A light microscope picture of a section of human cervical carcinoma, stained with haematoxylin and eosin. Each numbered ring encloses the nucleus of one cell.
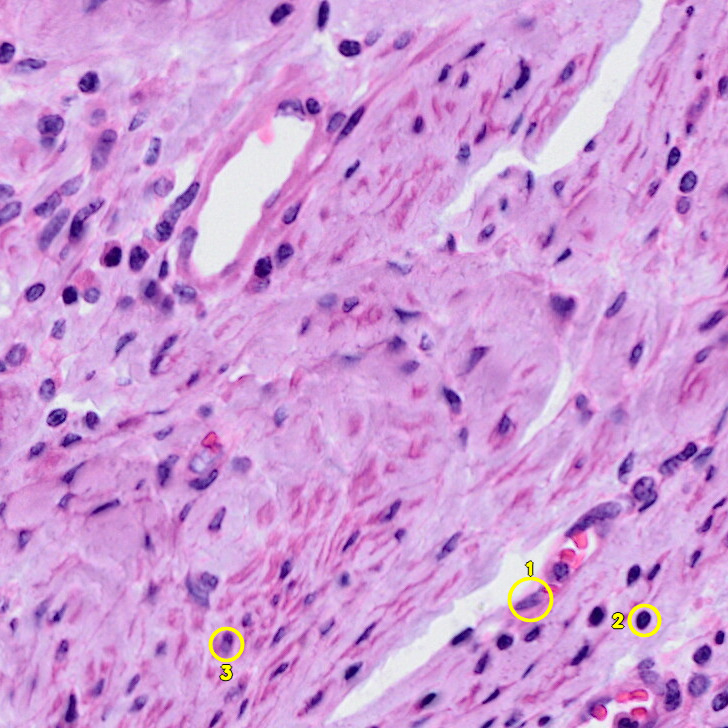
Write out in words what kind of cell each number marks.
Cell 1 is an endothelial cell. Cell 2 is a lymphocyte. Cell 3 is a smooth muscle cell.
